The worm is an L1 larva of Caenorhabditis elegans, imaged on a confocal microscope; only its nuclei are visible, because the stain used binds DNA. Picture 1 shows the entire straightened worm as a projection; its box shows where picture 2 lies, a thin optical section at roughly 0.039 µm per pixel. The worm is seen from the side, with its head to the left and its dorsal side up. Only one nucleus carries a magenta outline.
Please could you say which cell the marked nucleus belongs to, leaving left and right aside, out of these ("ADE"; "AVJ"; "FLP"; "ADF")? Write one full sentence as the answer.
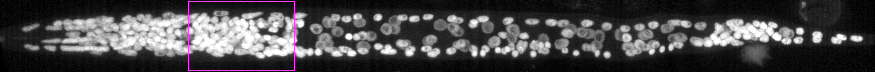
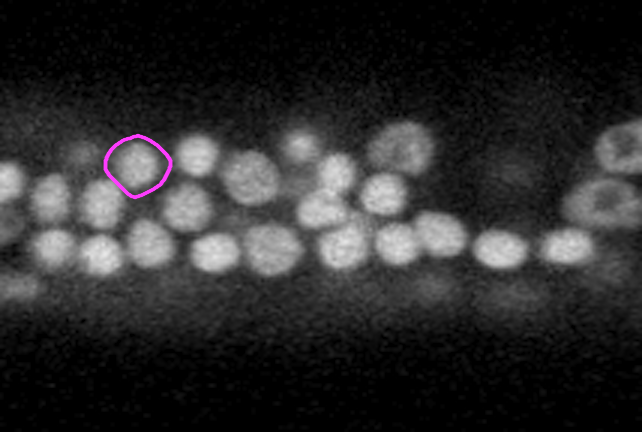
It belongs to ADF, a neuron.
